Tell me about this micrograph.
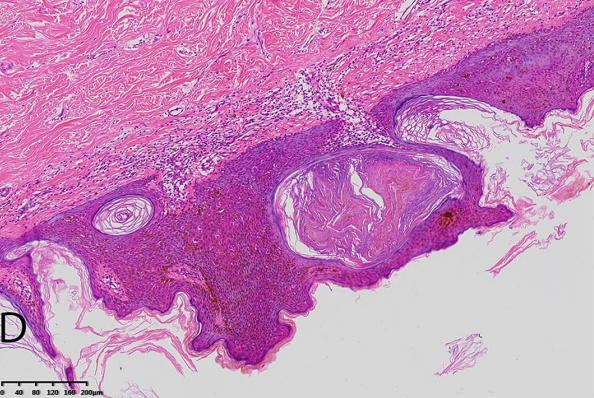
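This section of skin, shown with the dermis above and the surface below, has a markedly thickened, dark purple epidermis. The epidermis is made of closely packed small basaloid-looking cells with scattered brown pigment. Within it lie round cysts filled with concentric, laminated pink keratin. Layered pink keratin also covers the epidermal surface. The overlying dermis consists of pink collagen bundles with a band of scattered small cells next to the epidermis.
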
